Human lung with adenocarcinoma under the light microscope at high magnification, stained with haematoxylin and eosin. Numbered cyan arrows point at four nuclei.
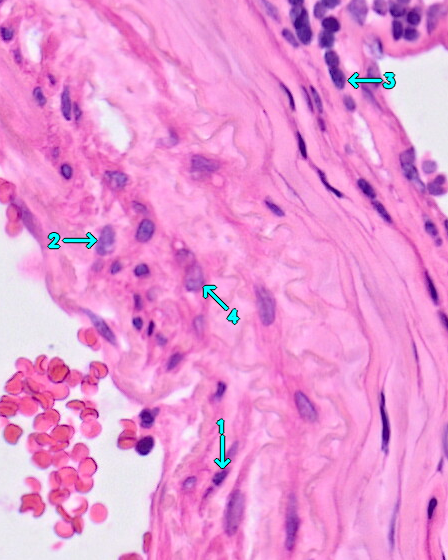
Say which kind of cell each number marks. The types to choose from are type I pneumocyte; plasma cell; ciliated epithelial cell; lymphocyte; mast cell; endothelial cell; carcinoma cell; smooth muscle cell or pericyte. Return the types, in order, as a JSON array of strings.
["smooth muscle cell or pericyte", "smooth muscle cell or pericyte", "lymphocyte", "smooth muscle cell or pericyte"]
